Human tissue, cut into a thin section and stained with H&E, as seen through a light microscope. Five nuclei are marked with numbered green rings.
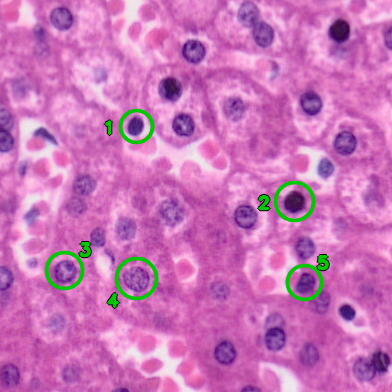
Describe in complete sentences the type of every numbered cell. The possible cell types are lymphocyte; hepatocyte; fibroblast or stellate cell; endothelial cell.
Cell 1 is a lymphocyte, cell 2 is a hepatocyte, cell 3 is a hepatocyte, cell 4 is a hepatocyte and cell 5 is a fibroblast or stellate cell.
